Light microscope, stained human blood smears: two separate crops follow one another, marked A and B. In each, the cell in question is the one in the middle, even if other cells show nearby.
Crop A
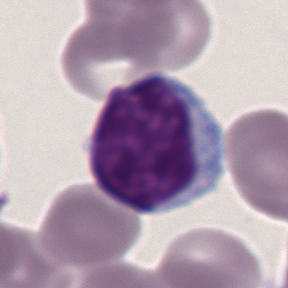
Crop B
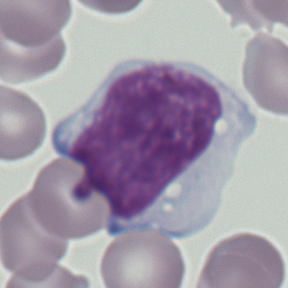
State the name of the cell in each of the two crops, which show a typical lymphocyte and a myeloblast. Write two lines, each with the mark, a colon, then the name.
A: typical lymphocyte
B: myeloblast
